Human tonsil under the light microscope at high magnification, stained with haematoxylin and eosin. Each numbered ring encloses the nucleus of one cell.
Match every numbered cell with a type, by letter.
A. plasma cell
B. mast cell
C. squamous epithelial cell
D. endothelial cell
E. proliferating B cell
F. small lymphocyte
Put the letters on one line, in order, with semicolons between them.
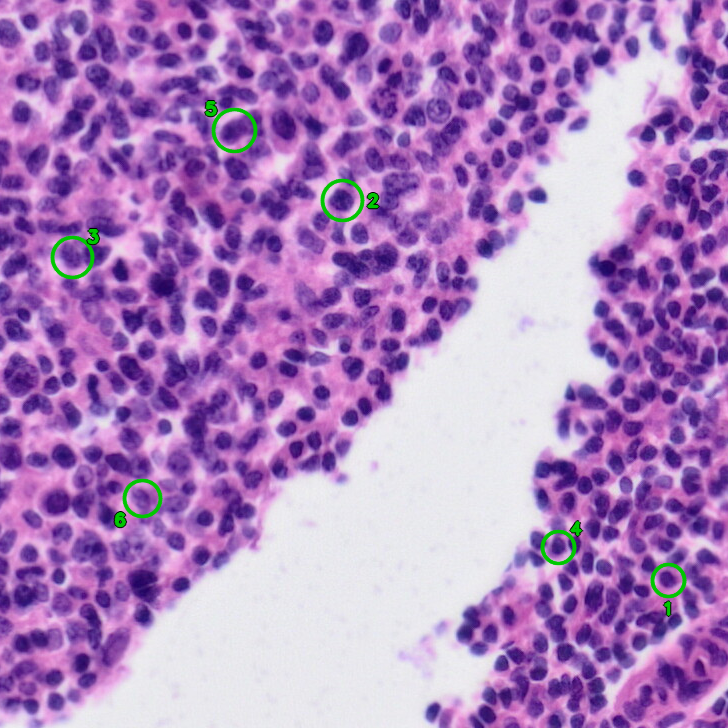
F; E; E; F; E; E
